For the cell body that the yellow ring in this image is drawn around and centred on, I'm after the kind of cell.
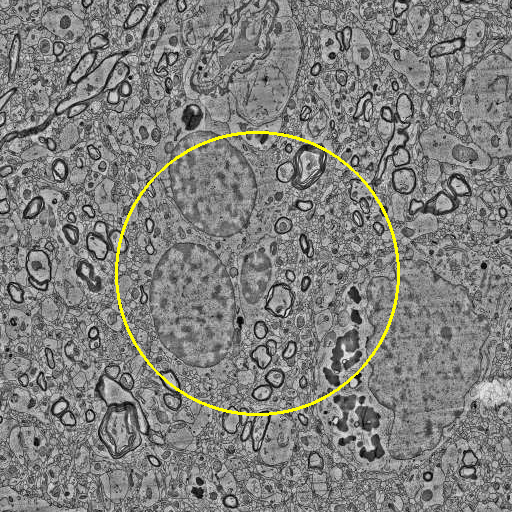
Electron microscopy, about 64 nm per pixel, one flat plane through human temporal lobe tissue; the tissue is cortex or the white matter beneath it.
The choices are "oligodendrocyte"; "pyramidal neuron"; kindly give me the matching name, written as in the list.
oligodendrocyte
